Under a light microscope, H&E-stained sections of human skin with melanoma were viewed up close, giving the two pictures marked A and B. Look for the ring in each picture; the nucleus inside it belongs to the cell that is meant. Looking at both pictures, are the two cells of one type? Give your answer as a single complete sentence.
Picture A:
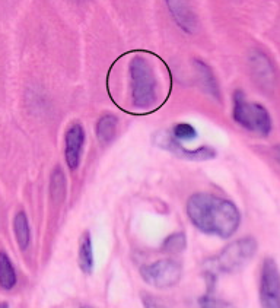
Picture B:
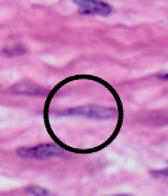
No, the types are not the same, since picture A shows a keratinocyte and picture B a “fibroblast or myofibroblast”.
